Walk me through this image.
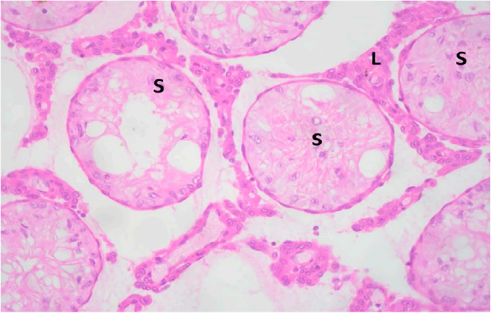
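Here several seminiferous tubules of the testis are cut across, but they look very different from a normal tubule. Each tubule is small and round, and its content is pale and full of clear vacuoles instead of layers of germ cells. The few cells left inside are mostly Sertoli cells, and no spermatids or sperm tails are to be seen toward the centre. Between the tubules, the interstitial spaces hold many cells with pink cytoplasm and round nuclei, the Leydig cells, singly and in groups.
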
